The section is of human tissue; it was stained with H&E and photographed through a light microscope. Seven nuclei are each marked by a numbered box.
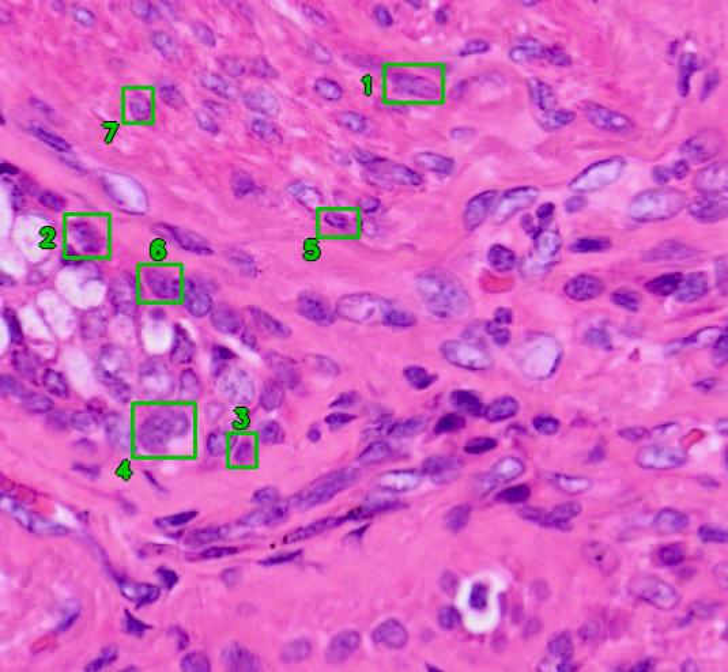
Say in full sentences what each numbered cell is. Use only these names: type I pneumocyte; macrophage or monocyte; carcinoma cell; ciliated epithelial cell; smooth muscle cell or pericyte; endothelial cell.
Cells 1, 5 and 7 are smooth muscle cells or pericytes. Cells 2, 3, 4 and 6 are ciliated epithelial cells.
